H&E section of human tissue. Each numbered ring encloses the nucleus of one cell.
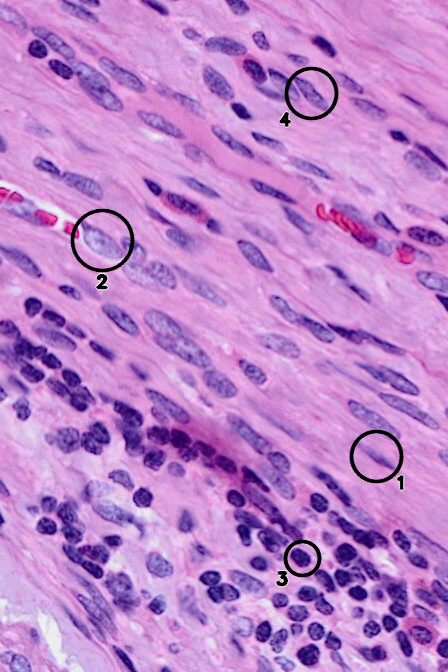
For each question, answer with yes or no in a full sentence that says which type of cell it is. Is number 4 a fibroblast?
Yes, the cell at number 4 is a fibroblast.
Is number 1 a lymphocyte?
No, number 1 is assigned to a fibroblast, not to a lymphocyte.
